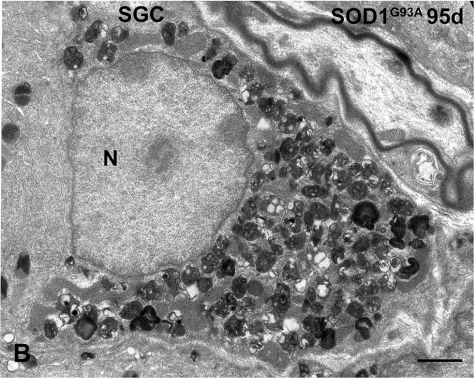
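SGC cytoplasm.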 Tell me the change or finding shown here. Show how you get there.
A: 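Massive storage of densely packed lysosomes and residual bodies. The cytoplasm beside the nucleus is packed with many dark membrane-bound bodies. Many bodies contain heterogeneous dense and pale inclusions.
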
